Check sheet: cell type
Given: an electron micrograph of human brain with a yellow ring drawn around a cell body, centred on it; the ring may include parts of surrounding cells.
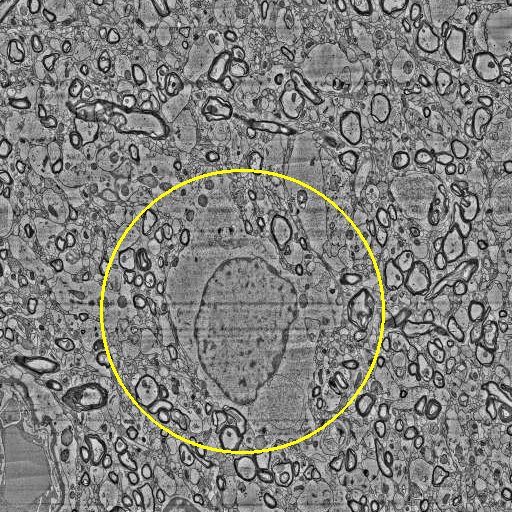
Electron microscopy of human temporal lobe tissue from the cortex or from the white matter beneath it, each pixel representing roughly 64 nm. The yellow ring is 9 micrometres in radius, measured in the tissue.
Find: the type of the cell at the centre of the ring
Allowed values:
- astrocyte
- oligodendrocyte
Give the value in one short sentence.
Here the ringed cell is an astrocyte.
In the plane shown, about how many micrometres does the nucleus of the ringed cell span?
The nucleus is approximately 9 micrometers long by 6 micrometers wide in this plane.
